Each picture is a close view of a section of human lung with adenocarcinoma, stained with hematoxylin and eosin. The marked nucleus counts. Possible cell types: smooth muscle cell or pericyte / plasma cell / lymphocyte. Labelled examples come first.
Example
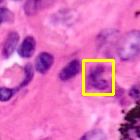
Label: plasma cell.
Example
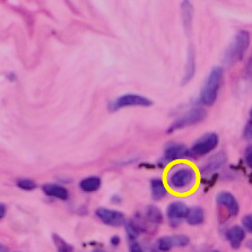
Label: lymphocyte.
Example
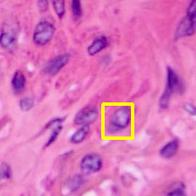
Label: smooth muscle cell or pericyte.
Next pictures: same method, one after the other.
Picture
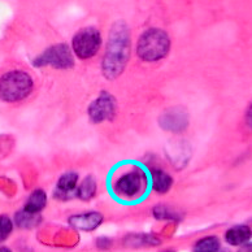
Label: lymphocyte.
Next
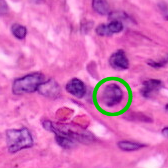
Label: plasma cell.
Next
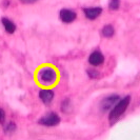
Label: smooth muscle cell or pericyte.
